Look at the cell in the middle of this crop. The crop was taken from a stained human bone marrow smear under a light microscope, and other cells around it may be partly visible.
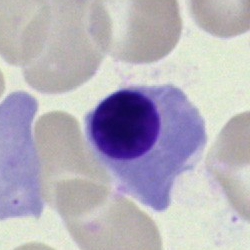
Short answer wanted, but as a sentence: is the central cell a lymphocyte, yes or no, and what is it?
No, the centred cell is an erythroblast, and it is not a lymphocyte.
